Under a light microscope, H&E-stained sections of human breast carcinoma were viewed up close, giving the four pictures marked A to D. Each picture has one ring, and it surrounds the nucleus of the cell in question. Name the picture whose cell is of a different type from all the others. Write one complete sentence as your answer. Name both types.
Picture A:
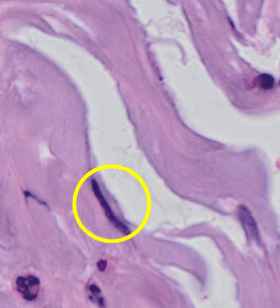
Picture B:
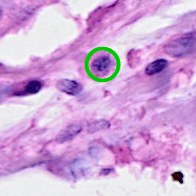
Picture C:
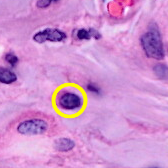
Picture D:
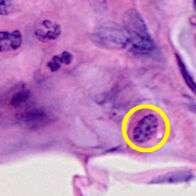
Picture A differs, because its cell is a fibroblast and the rest are mast cells.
